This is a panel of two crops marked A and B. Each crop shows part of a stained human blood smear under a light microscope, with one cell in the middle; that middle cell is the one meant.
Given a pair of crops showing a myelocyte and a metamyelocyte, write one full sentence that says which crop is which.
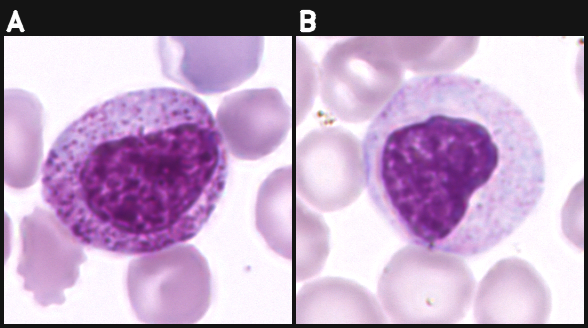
Crop A is labelled a myelocyte, and crop B is labelled a metamyelocyte.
